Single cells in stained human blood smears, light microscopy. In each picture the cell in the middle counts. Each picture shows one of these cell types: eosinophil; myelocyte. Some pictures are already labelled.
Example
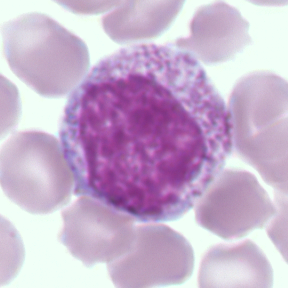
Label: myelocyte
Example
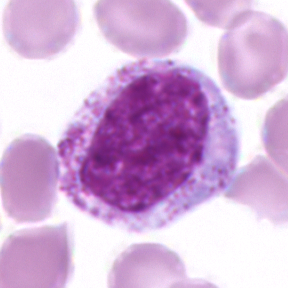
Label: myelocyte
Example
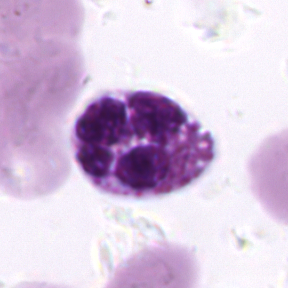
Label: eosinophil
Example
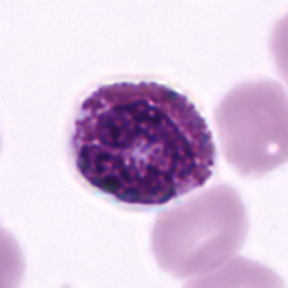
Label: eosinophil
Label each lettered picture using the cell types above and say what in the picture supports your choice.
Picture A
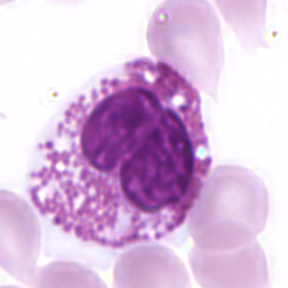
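eosinophil. The nucleus has two lobes.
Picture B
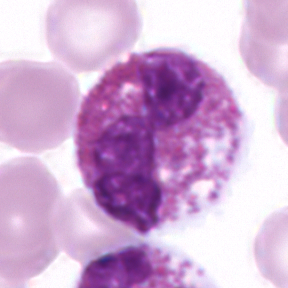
eosinophil. The nucleus is split into at least two separate dark lobes, one at the upper middle and one at the lower left.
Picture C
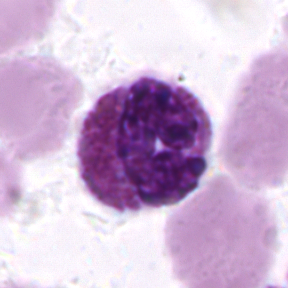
eosinophil. The nuclear lobes are arranged in a ring around a small clear gap near the cell's centre.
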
